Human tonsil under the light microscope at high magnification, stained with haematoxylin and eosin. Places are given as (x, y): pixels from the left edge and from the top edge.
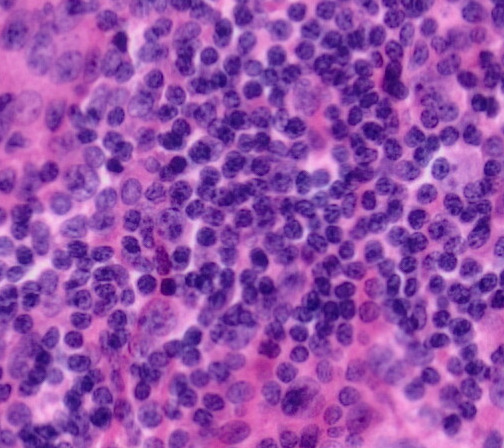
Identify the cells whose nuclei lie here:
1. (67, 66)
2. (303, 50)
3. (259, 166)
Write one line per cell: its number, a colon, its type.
1: endothelial cell
2: small lymphocyte
3: small lymphocyte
